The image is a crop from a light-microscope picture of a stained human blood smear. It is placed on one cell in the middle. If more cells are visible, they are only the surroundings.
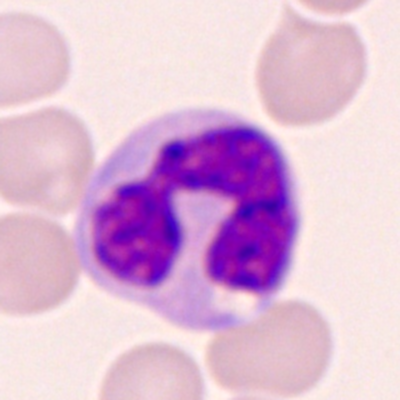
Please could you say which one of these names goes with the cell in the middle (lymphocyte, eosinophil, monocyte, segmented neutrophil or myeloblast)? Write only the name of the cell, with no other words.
monocyte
